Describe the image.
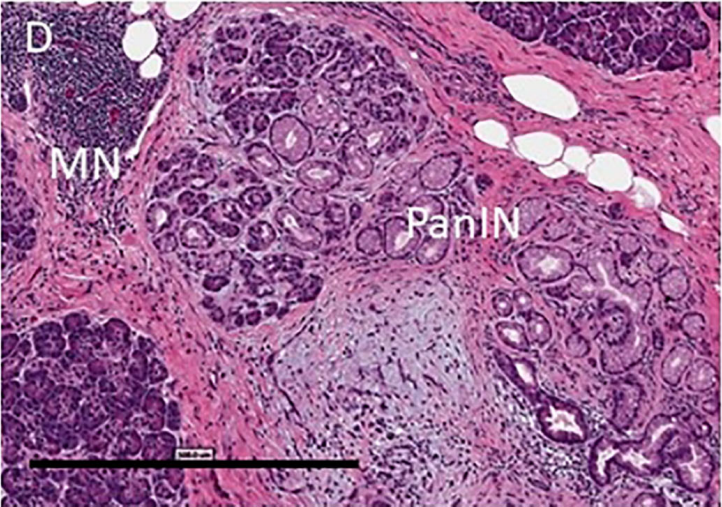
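This is pancreas with chronic inflammatory change: lobules of purple acinar tissue, a dense cluster of small dark round mononuclear cells at the upper left, and pink fibrous tissue separating the lobules. In the centre and right, many small ducts lined by columnar epithelium with pale apical cytoplasm lie crowded within fibrous stroma, next to an area of pale bluish loose stroma. Fat cells appear as clear round spaces along the top.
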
